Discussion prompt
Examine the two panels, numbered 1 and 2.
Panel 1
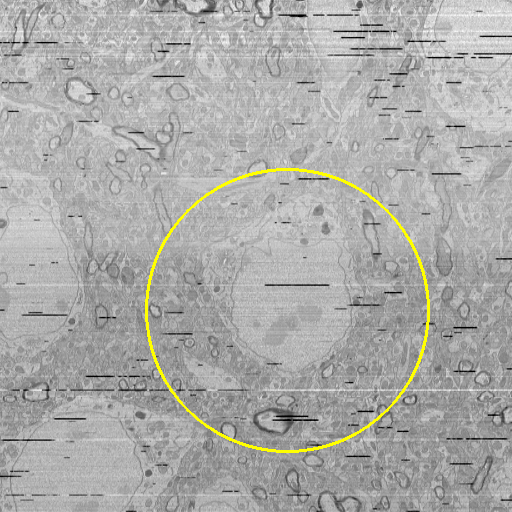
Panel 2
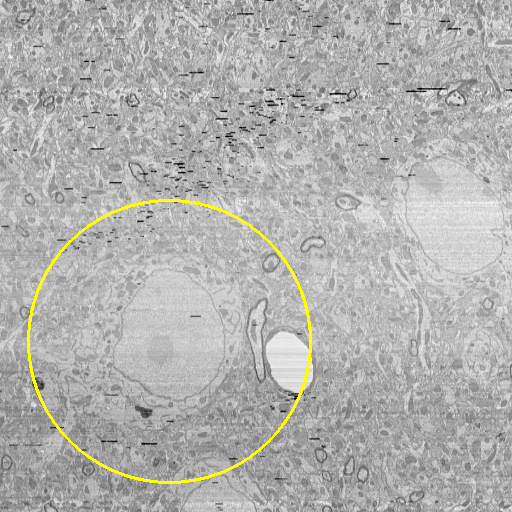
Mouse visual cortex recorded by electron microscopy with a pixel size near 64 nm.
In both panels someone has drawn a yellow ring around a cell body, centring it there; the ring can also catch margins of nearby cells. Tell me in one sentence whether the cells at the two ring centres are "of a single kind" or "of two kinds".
Taken together, the two cells centred in the rings of Panels 1 and 2 are of a single kind.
